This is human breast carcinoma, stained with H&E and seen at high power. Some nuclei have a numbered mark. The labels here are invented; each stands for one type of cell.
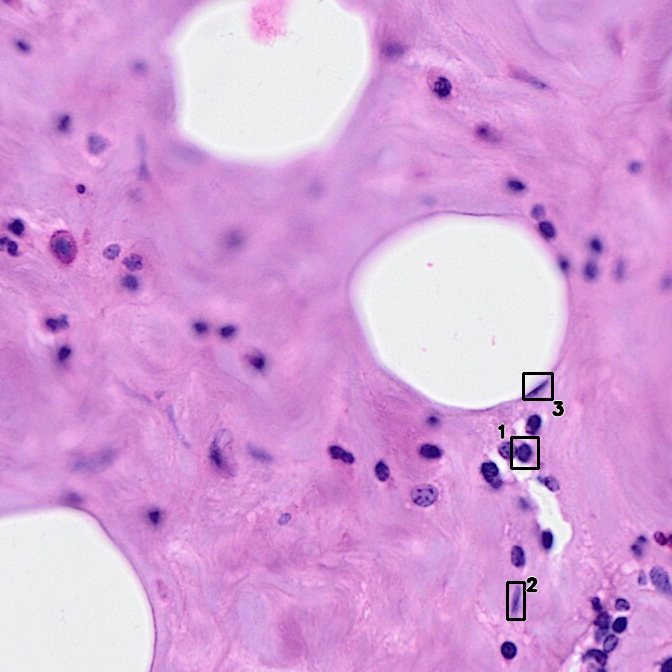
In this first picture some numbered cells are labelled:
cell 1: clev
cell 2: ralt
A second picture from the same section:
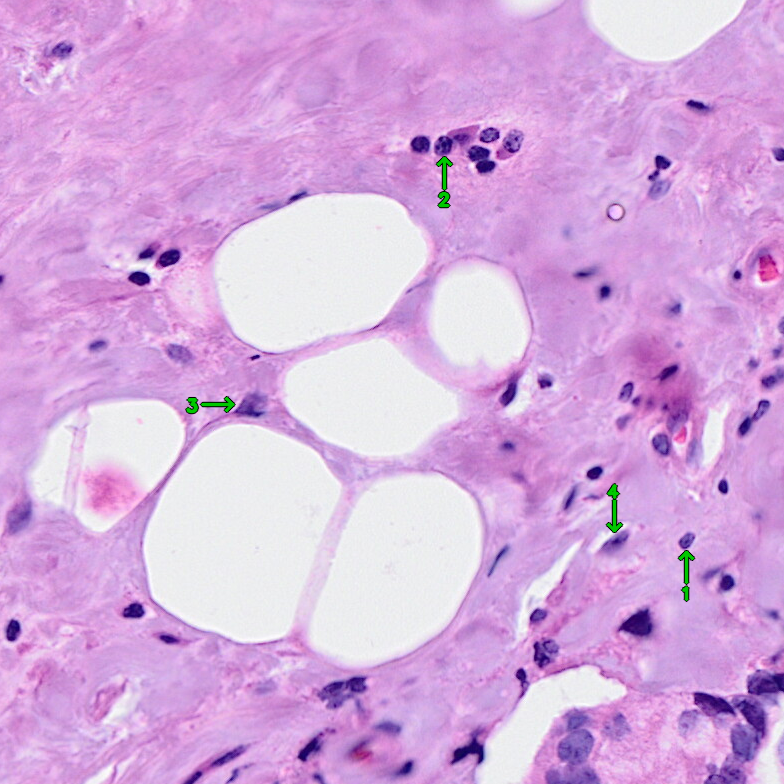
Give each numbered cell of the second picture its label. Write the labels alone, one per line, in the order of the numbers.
clev
clev
ralt
ralt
